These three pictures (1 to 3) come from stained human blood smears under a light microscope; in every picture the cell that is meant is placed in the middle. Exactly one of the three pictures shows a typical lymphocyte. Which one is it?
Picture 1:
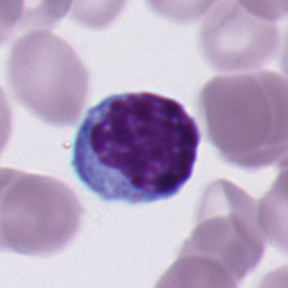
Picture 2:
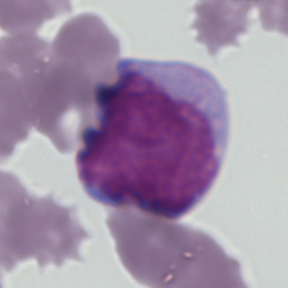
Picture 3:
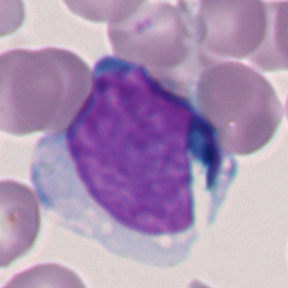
1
